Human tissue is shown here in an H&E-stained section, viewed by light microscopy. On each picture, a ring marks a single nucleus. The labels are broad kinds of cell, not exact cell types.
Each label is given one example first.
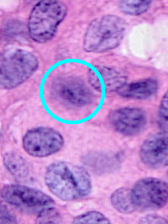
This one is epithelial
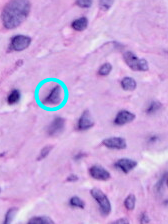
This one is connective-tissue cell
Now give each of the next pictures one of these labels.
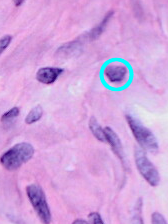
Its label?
connective-tissue cell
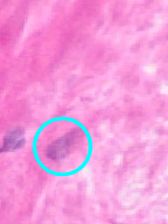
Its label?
connective-tissue cell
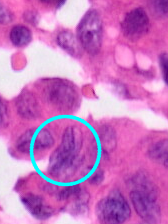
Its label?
epithelial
